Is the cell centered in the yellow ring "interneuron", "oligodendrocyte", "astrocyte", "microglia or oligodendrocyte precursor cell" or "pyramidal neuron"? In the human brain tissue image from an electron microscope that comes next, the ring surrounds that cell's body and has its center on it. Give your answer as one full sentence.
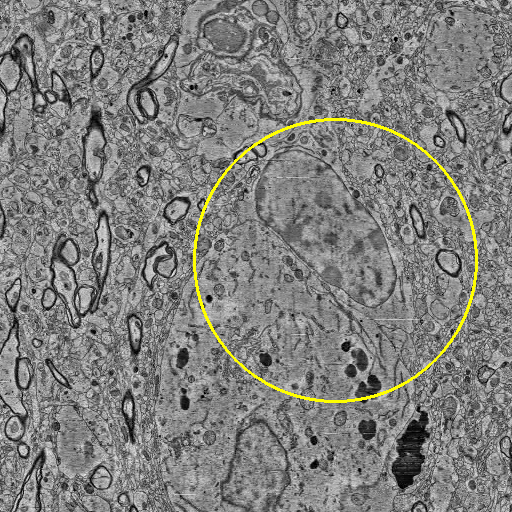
The cell at the center of the yellow ring is a microglial cell or oligodendrocyte precursor cell in the micrograph.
